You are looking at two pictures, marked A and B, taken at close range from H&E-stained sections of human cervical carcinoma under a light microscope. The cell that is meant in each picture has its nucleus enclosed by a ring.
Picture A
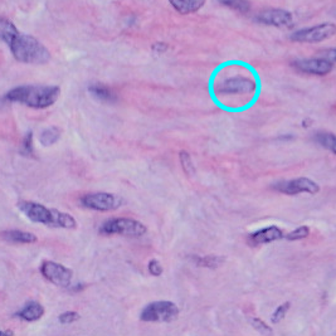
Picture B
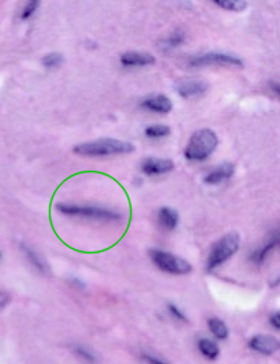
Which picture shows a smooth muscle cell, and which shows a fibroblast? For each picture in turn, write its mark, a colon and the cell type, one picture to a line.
A: smooth muscle cell
B: fibroblast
